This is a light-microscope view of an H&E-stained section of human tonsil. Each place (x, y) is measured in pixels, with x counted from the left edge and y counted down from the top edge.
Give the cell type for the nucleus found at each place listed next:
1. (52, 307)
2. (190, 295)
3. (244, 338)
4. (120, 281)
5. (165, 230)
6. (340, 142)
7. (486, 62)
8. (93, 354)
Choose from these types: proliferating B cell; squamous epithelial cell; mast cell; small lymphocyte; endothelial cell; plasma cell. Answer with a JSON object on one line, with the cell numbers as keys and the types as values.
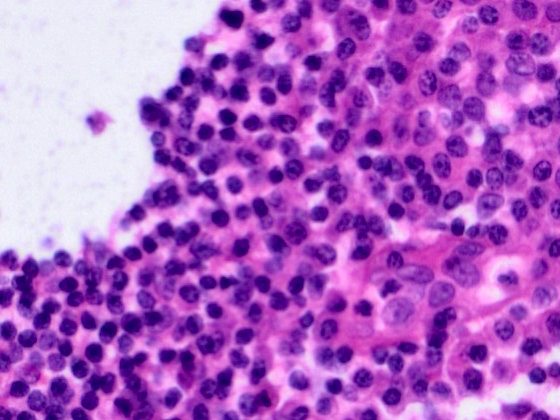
{"1": "small lymphocyte", "2": "plasma cell", "3": "plasma cell", "4": "small lymphocyte", "5": "small lymphocyte", "6": "plasma cell", "7": "plasma cell", "8": "small lymphocyte"}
